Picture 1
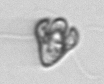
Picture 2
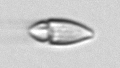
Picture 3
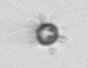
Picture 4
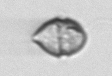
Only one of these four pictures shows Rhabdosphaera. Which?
Picture 3.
